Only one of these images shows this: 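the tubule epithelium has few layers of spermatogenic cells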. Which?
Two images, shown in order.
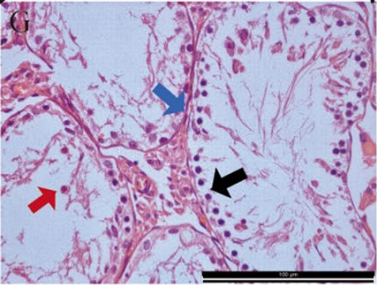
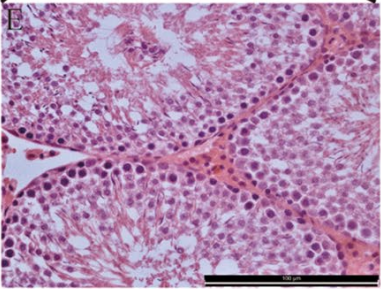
The first image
